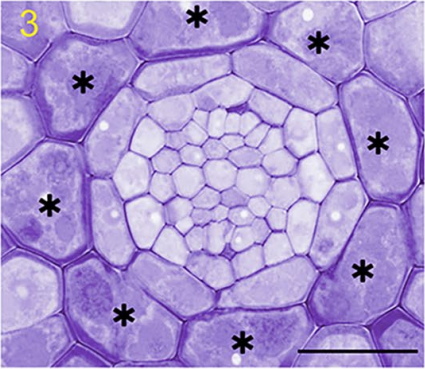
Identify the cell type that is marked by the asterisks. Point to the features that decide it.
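The marked cells are large cells forming a ring. A thin layer of flattened cells lies just inside the ring, around a central cluster of small cells. So: cortical cells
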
